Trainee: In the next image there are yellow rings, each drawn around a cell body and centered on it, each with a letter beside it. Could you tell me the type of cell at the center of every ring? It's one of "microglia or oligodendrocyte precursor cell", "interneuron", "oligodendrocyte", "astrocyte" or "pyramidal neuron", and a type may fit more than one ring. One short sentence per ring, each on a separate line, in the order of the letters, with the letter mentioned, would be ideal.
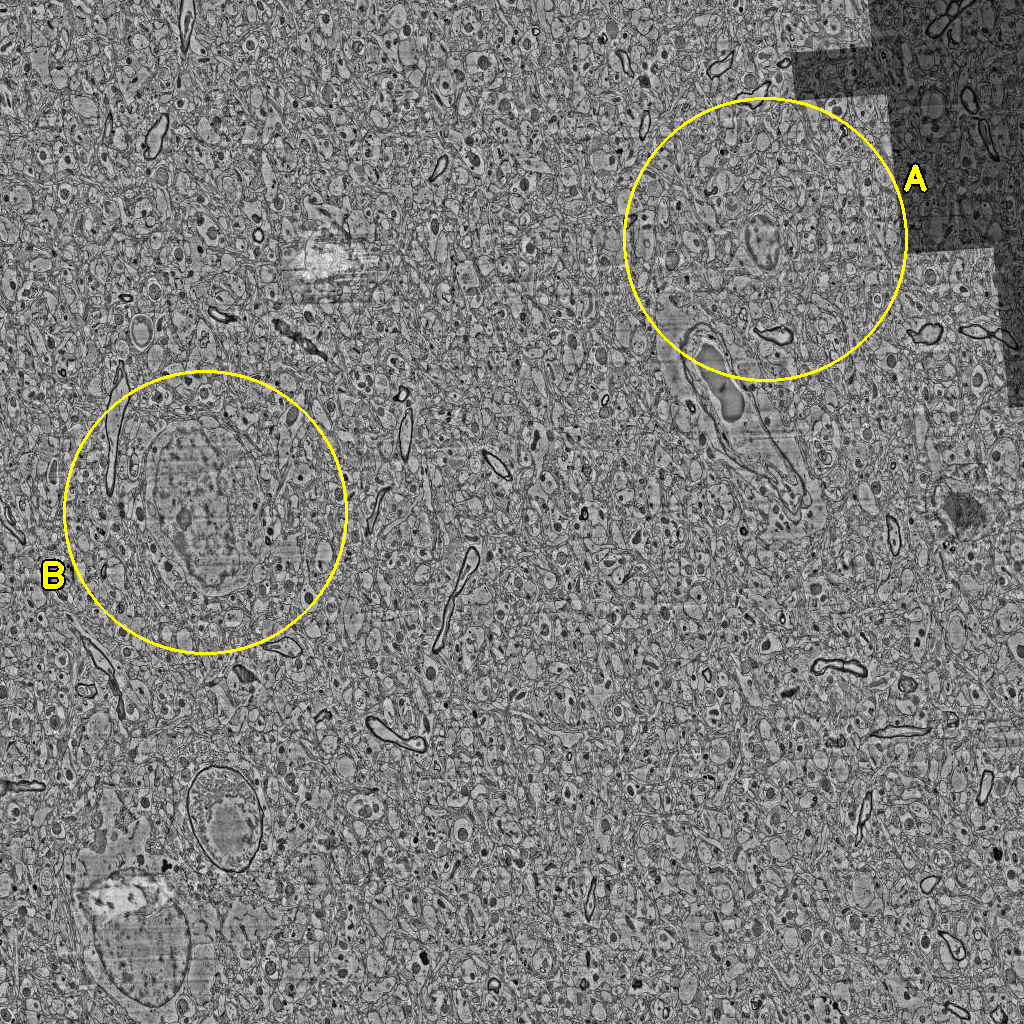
What ring A is centered on is a microglial cell or oligodendrocyte precursor cell.
What ring B is centered on is an interneuron.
